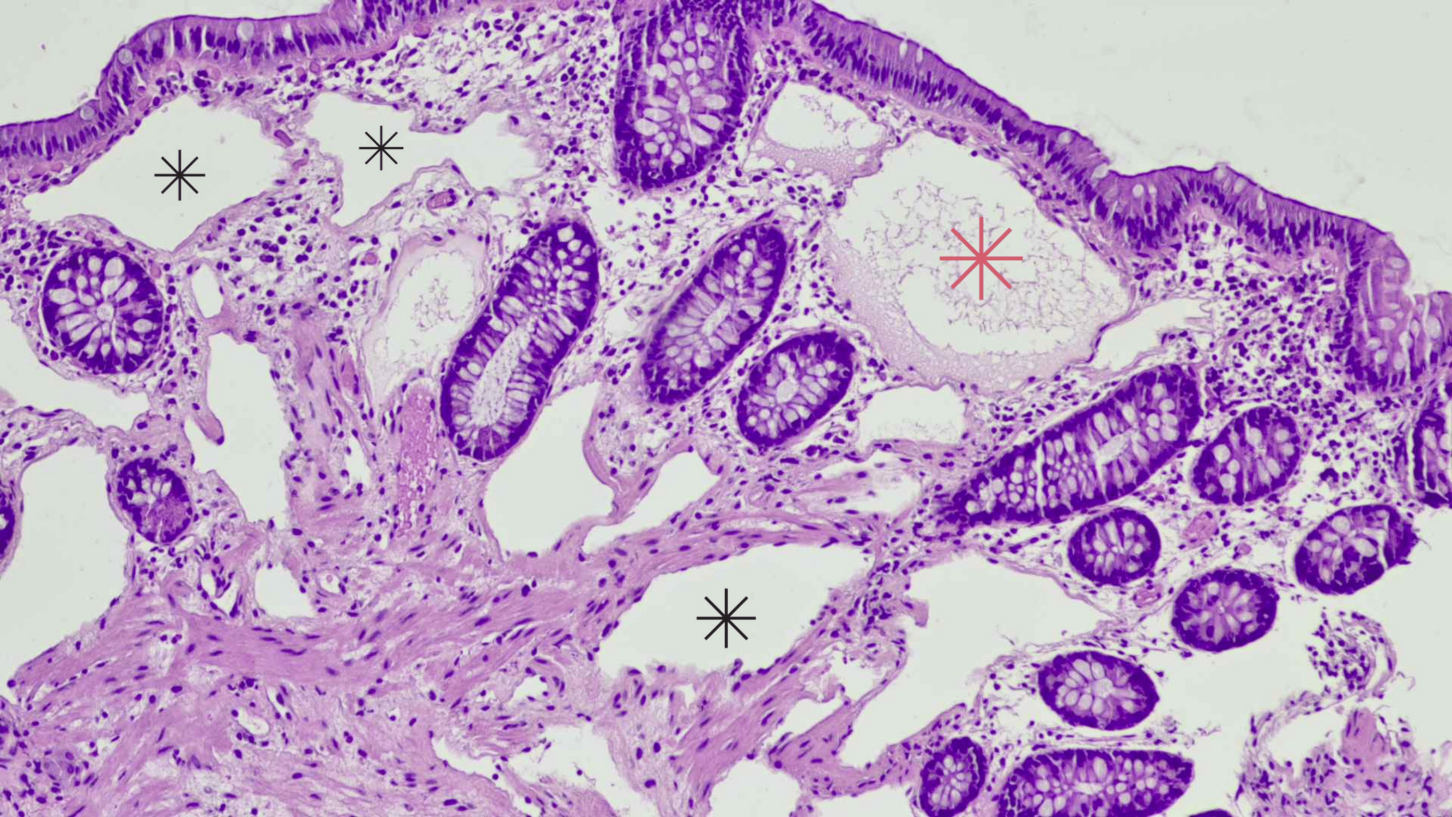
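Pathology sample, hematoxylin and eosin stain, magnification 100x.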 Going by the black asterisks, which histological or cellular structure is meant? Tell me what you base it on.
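The black asterisks lie in large, irregular spaces that are empty. The spaces are lined by a thin, flat layer of cells. The spaces lie between glands and smooth muscle bundles.
Hence: dilated lymphatic channels.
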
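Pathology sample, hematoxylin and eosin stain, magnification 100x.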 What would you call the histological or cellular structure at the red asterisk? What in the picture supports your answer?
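The red asterisk lies in a large, thin-walled space. The space holds pale pink, lacy material. The space lacks red blood cells.
Conclusion: dilated lymphatic channels with fluid present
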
